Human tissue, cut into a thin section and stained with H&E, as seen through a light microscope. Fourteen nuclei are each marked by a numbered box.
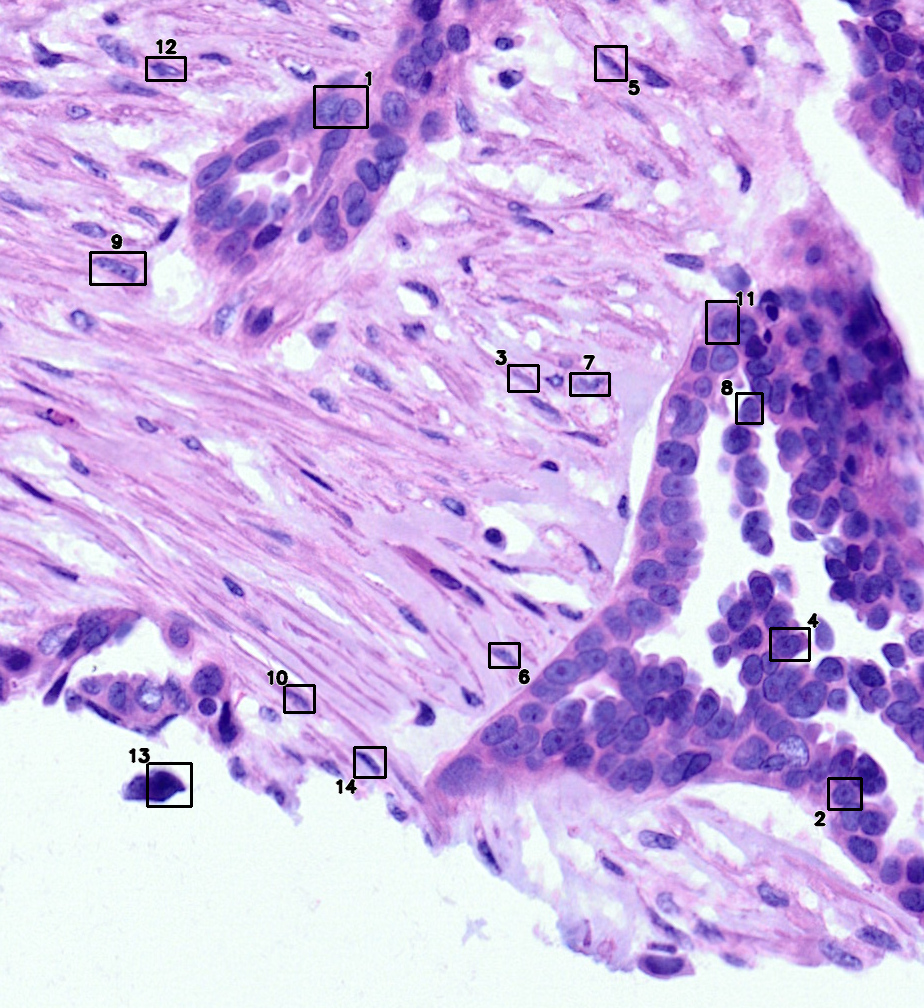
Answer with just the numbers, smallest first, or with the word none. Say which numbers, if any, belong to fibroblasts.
3, 5, 6, 7, 9, 10, 12, 14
